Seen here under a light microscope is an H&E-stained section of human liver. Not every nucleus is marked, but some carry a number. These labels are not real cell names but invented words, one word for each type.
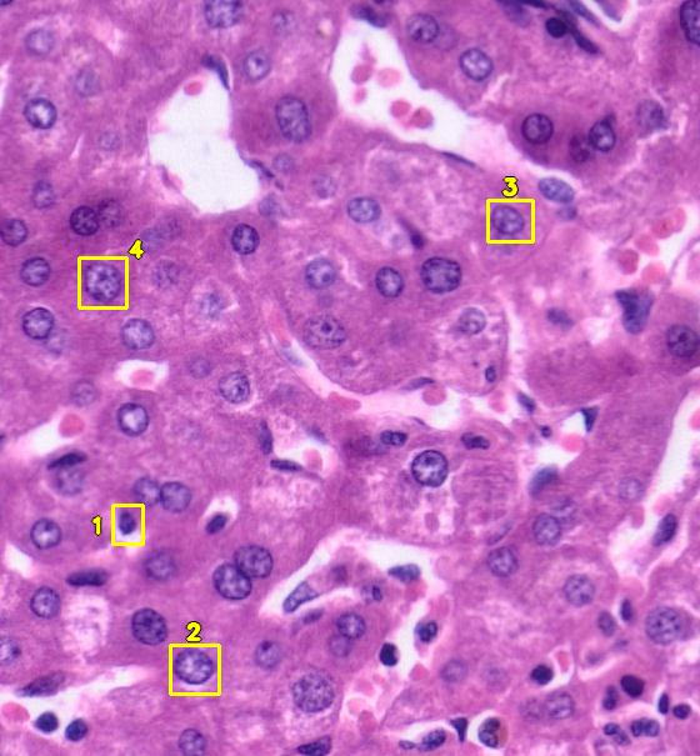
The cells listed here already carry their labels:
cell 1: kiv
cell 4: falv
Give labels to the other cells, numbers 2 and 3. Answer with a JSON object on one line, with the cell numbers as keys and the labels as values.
{"2": "falv", "3": "falv"}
